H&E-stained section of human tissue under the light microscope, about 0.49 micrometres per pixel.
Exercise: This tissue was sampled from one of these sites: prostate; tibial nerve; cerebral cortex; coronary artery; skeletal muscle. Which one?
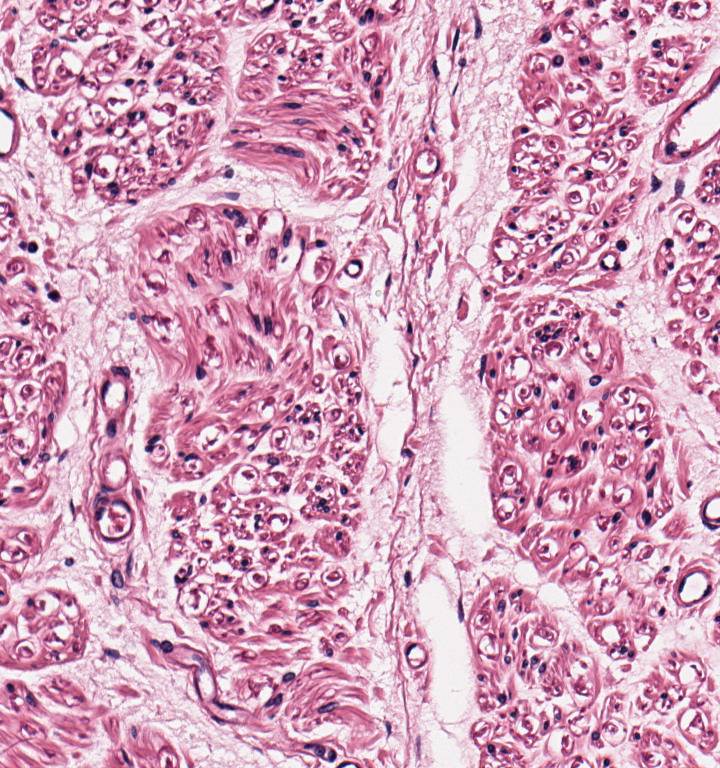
tibial nerve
